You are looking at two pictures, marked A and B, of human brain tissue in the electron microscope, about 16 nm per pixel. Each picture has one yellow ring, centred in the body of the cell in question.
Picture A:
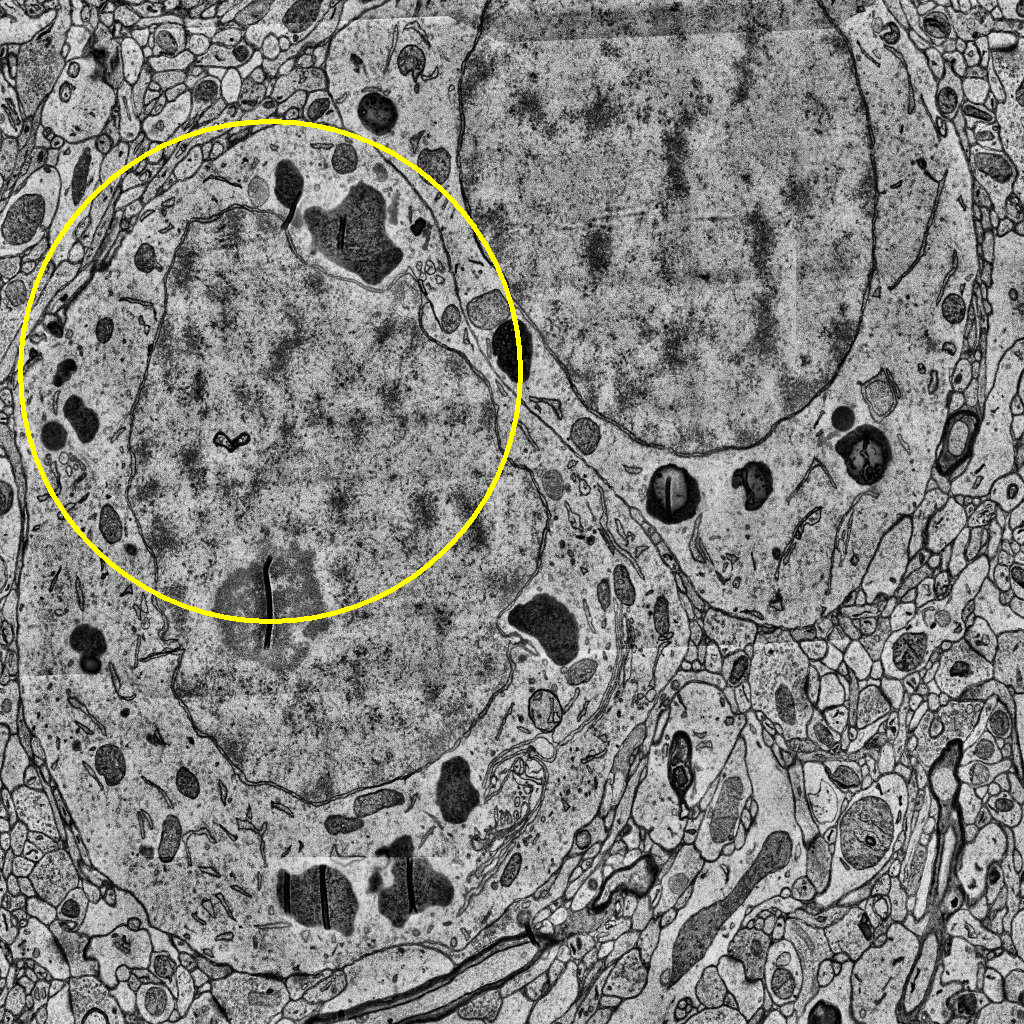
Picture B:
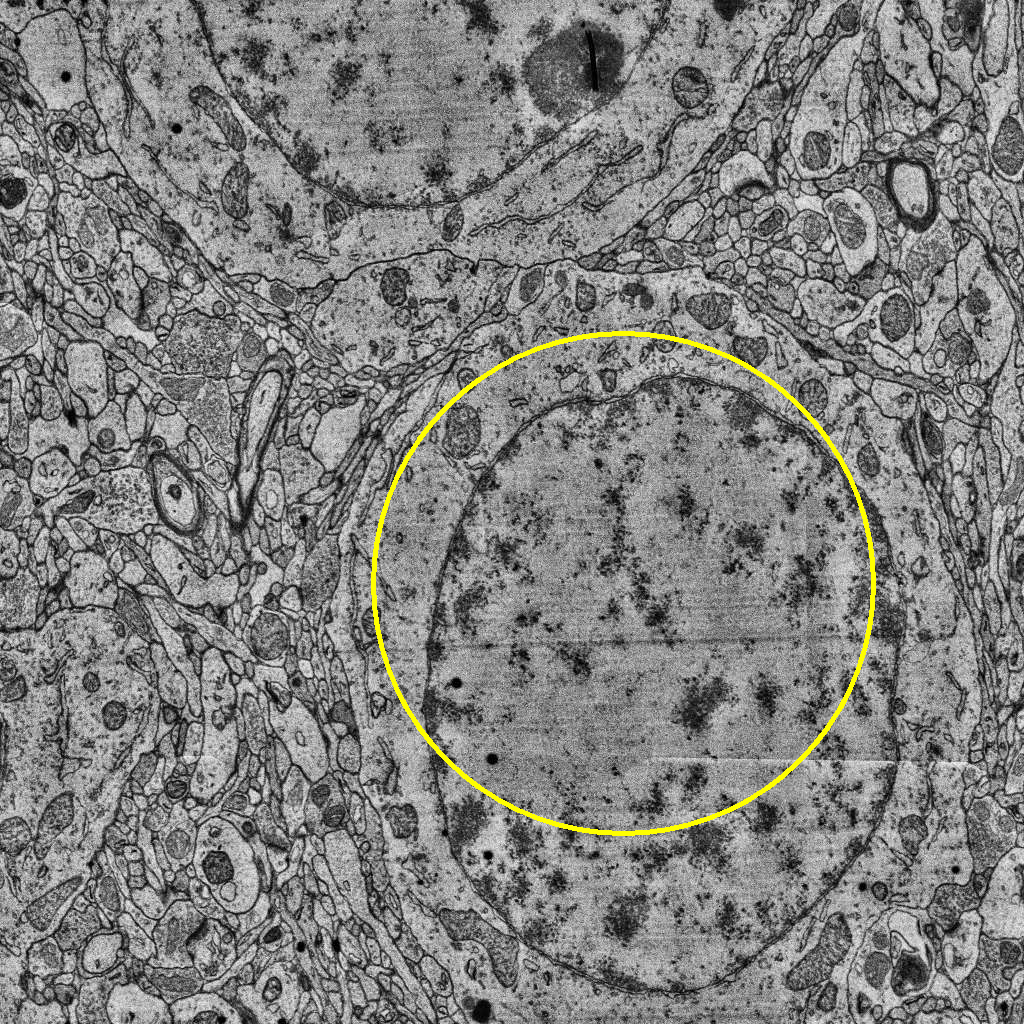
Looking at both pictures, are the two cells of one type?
No, the types are not the same, since picture A shows an interneuron and picture B a pyramidal neuron.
